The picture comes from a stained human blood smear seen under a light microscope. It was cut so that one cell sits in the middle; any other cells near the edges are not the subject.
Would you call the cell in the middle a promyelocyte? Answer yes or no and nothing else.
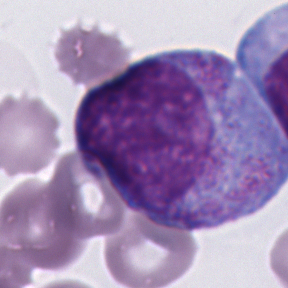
yes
